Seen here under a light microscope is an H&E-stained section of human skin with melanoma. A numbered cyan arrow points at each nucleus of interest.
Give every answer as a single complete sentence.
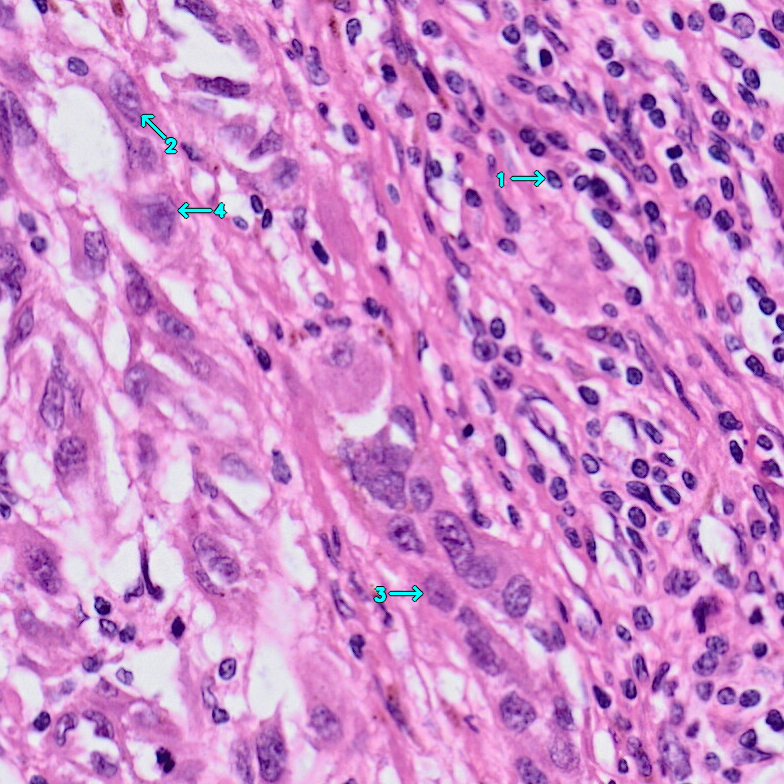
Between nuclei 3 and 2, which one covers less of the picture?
With nucleus 2 about 1.5 times its size, nucleus 3 is the smaller of the two.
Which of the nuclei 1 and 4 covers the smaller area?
Nucleus 1 is the smaller one; nucleus 4 covers about 3 times its area.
